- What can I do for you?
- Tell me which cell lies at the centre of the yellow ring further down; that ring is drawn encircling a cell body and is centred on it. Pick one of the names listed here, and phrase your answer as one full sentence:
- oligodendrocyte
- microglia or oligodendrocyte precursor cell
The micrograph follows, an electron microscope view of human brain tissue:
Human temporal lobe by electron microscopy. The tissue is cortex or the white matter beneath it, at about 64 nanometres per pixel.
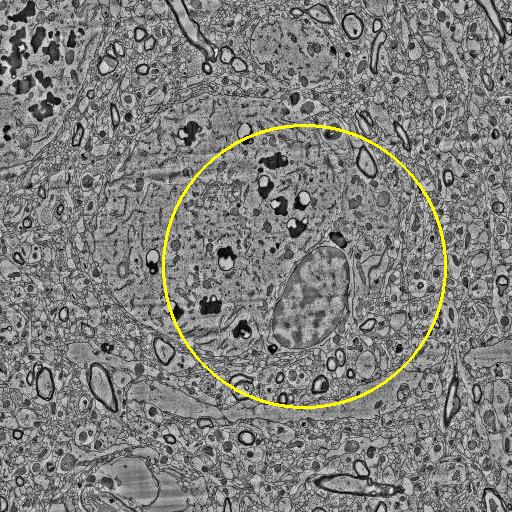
The cell whose body lies at the centre of the yellow ring is a microglial cell or oligodendrocyte precursor cell.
